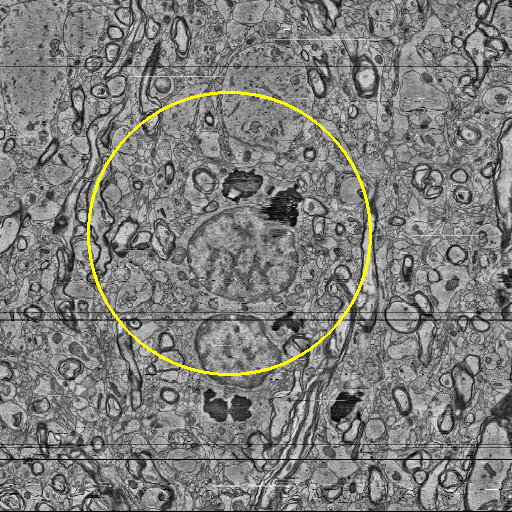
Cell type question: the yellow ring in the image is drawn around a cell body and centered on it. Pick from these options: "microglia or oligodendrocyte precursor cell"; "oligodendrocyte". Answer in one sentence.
The ringed cell at the center is an oligodendrocyte.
